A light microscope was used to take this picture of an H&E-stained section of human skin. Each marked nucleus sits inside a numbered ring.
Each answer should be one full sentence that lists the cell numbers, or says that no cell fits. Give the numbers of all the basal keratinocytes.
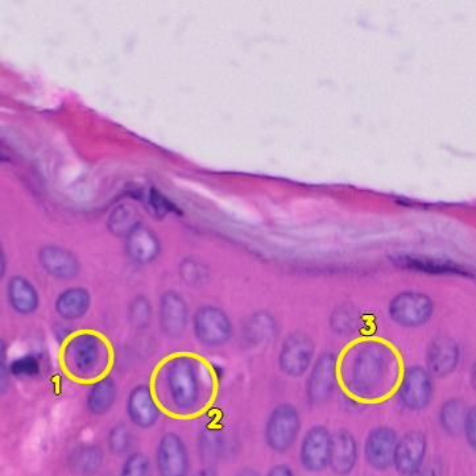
Mind that only cell 1 is a basal keratinocyte, none of the rest.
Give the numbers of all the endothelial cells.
None among the numbered cells are endothelial cells.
